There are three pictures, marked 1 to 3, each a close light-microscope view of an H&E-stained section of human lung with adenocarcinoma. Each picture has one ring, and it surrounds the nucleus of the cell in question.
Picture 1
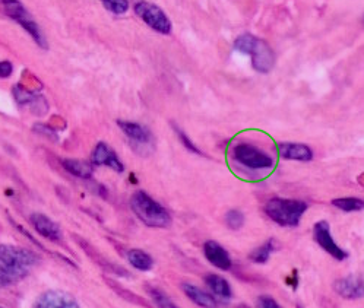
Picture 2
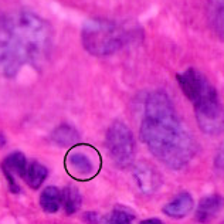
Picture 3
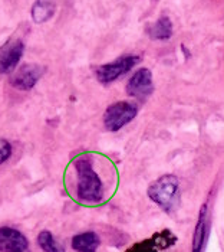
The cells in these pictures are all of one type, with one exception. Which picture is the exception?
2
